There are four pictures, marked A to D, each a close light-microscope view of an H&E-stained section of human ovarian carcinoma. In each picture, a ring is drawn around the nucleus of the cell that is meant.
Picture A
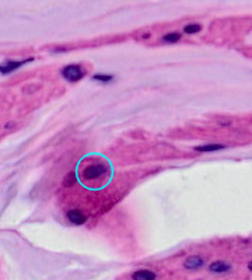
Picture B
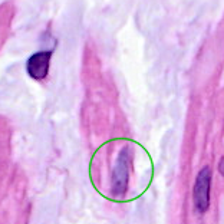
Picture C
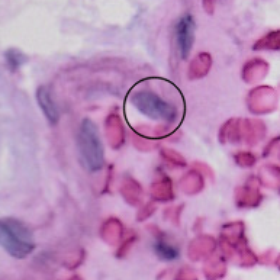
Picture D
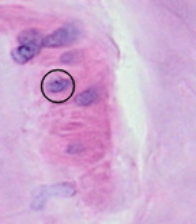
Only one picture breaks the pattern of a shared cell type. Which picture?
C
